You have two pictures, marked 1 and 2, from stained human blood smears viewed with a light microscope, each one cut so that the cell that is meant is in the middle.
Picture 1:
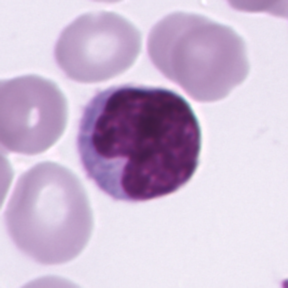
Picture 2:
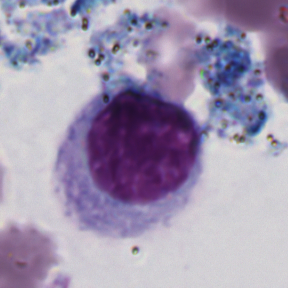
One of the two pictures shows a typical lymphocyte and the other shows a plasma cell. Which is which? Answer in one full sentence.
In picture 1 the cell is a typical lymphocyte; in picture 2, a plasma cell.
